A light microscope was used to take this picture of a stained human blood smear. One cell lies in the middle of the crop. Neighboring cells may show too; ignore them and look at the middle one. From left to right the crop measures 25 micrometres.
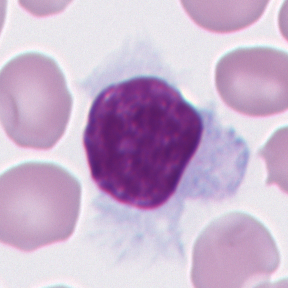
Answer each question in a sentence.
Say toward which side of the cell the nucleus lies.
Toward the upper left of the cell lies its nucleus.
